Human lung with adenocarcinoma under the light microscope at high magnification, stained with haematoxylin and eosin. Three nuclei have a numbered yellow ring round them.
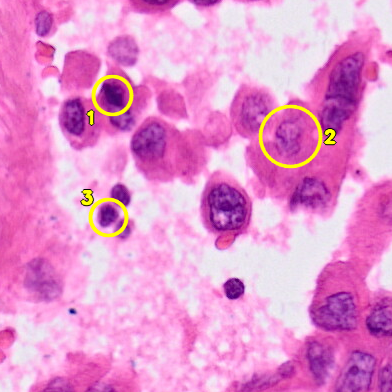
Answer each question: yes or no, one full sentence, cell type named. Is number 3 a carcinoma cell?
No, the cell under number 3 is a lymphocyte, not a carcinoma cell.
